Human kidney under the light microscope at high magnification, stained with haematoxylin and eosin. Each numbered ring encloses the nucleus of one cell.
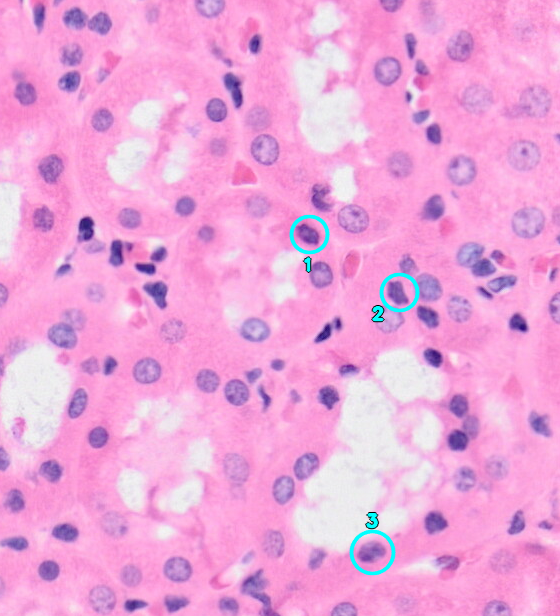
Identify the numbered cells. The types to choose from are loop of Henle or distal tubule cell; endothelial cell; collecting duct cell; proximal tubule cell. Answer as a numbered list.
1. proximal tubule cell
2. loop of Henle or distal tubule cell
3. loop of Henle or distal tubule cell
